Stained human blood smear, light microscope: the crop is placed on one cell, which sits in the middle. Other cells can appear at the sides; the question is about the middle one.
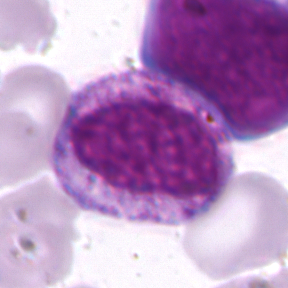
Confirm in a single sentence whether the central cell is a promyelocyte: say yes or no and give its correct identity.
No, instead of being a promyelocyte, the middle cell is a myelocyte.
